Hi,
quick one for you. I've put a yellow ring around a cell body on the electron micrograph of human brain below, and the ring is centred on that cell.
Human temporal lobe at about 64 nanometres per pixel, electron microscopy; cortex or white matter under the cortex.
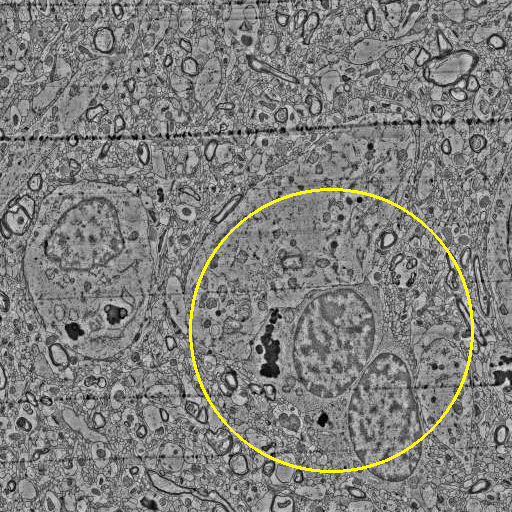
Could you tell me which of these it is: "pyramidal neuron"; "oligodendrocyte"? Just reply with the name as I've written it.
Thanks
oligodendrocyte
